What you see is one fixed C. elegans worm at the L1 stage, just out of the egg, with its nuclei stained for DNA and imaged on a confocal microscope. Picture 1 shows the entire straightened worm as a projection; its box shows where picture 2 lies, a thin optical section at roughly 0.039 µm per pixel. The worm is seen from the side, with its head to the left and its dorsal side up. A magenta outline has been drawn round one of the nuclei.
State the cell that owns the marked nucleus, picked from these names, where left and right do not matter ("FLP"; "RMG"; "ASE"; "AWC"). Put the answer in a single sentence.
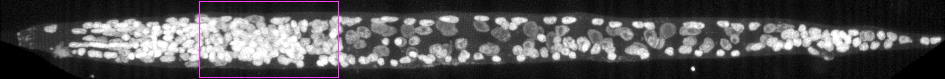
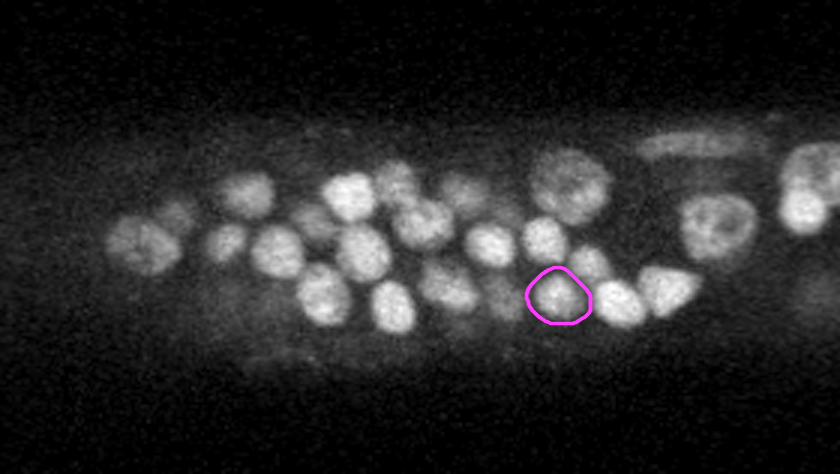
The cell whose nucleus is marked is FLP, a neuron.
